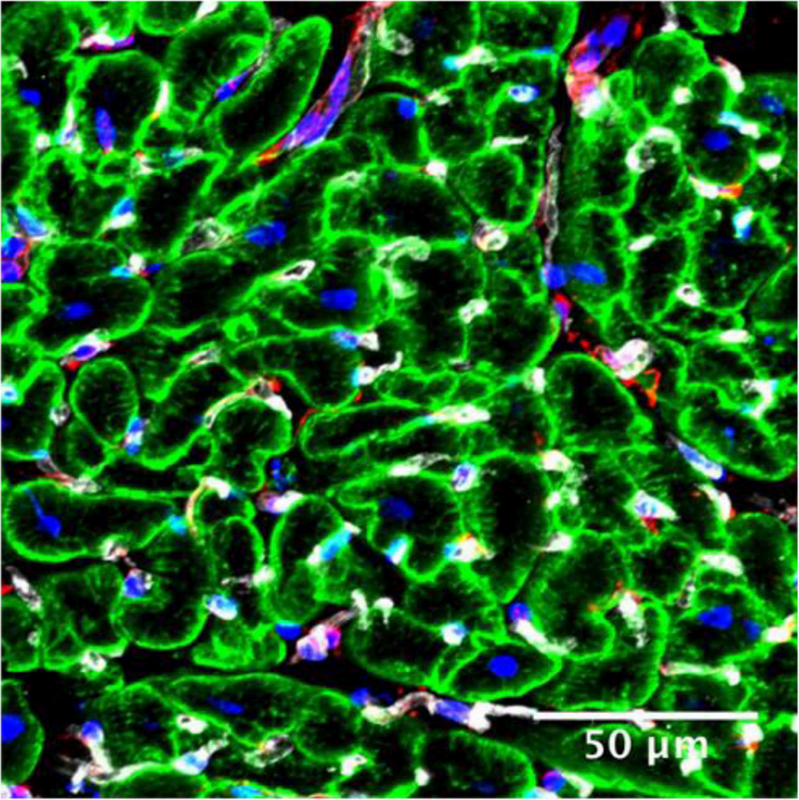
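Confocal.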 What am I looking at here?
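This is heart muscle cut across, with cardiomyocytes seen as large rounded or polygonal profiles whose surfaces are outlined in green, with fine green lines radiating into their interior. Blue oval nuclei appear both inside some muscle profiles and in the small interstitial cells. The muscle cells are tightly packed, with the small cells lying close against their surfaces.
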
